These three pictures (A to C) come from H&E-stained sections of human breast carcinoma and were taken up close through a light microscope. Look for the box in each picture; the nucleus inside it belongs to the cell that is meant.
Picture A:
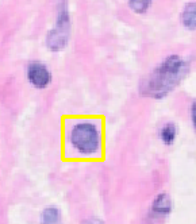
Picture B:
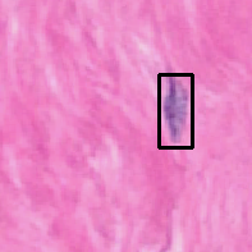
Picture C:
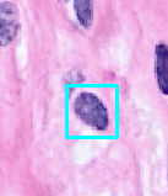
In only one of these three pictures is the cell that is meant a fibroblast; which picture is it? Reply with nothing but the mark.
B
